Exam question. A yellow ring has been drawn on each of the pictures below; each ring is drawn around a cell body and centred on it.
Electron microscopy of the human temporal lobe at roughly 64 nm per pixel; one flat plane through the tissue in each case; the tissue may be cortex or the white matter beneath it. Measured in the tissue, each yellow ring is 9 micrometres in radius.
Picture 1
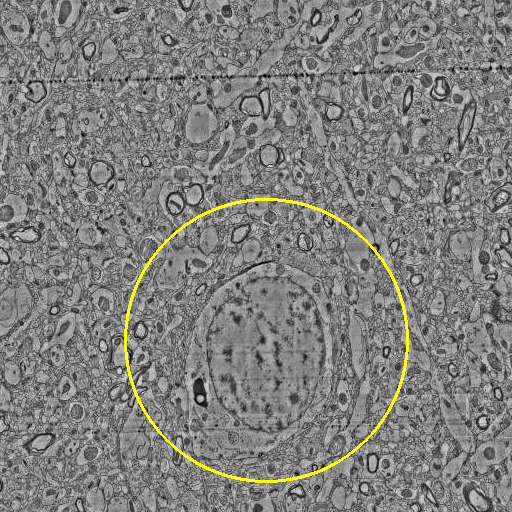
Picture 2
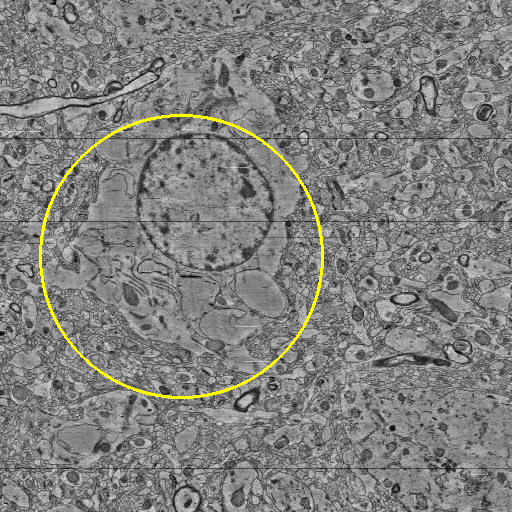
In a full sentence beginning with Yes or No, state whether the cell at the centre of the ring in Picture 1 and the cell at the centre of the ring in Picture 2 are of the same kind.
No, the cells are of two kinds.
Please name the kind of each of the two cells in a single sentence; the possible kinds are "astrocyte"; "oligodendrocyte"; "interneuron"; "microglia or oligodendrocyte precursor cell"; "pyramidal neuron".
In the first picture the ring is centred on an interneuron, and in the second on an astrocyte.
